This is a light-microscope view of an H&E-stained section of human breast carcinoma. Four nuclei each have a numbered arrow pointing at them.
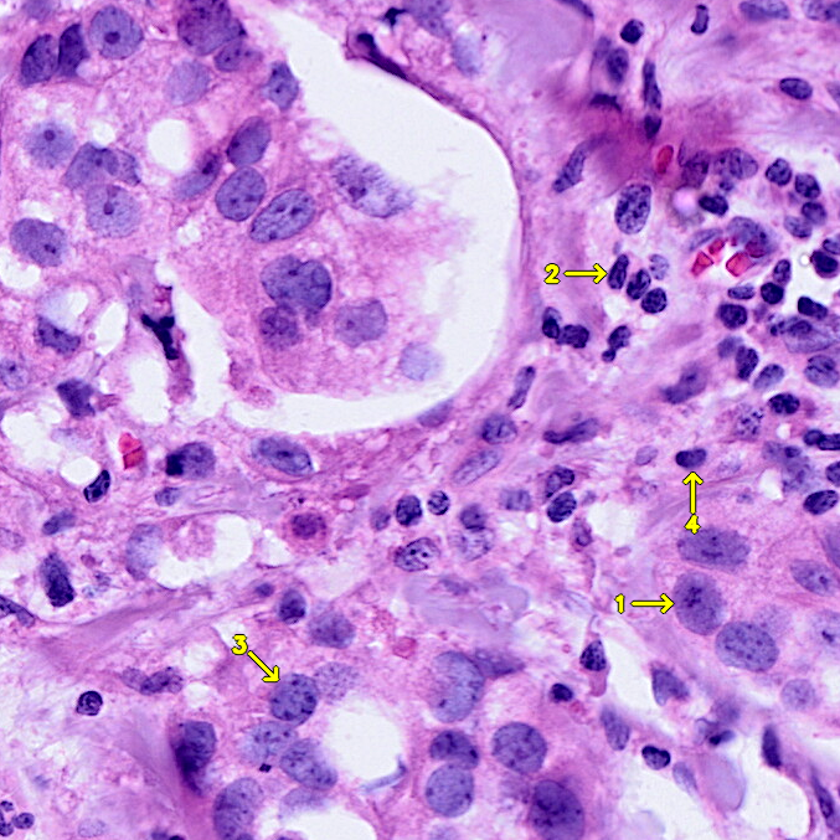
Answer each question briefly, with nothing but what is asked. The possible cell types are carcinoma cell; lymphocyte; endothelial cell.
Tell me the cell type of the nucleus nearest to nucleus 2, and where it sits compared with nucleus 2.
a lymphocyte; below and to the right of nucleus 2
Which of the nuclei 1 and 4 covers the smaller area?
4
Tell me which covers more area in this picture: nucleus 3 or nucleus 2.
3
